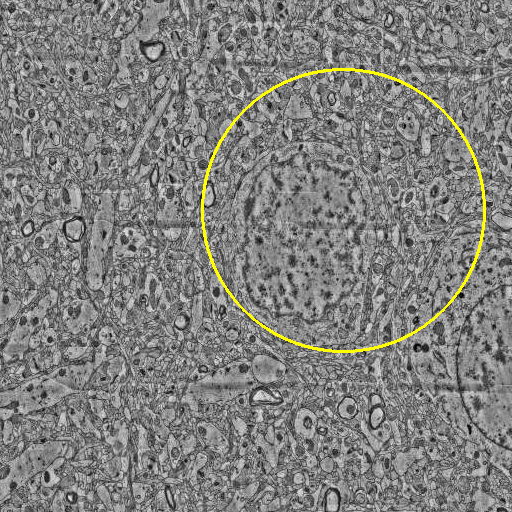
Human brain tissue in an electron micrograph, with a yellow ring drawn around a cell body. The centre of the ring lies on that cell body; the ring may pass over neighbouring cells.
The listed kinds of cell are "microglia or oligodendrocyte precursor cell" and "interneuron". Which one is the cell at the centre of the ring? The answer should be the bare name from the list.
interneuron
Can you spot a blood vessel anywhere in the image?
No.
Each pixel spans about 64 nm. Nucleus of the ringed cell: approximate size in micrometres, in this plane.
The nucleus of the ringed cell is approximately 11 by 8 micrometres in this plane.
